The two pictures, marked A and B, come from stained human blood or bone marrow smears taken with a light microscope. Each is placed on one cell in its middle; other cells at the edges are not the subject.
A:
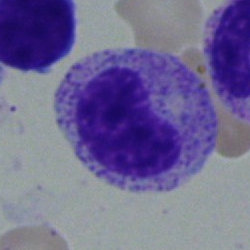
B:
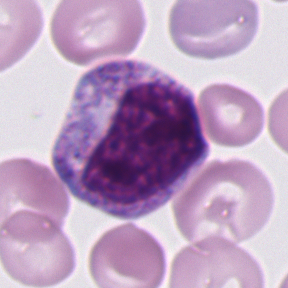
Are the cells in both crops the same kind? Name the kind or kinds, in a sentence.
Yes, these two crops both show metamyelocytes.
